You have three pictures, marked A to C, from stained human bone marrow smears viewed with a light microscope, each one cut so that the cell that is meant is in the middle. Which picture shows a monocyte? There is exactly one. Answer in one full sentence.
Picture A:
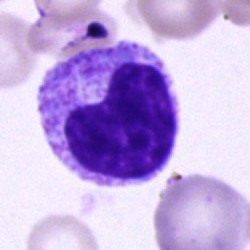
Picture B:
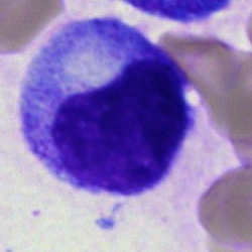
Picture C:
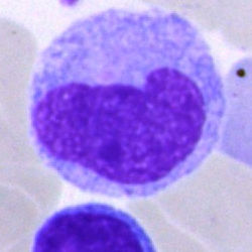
Picture C is the one that shows the monocyte.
